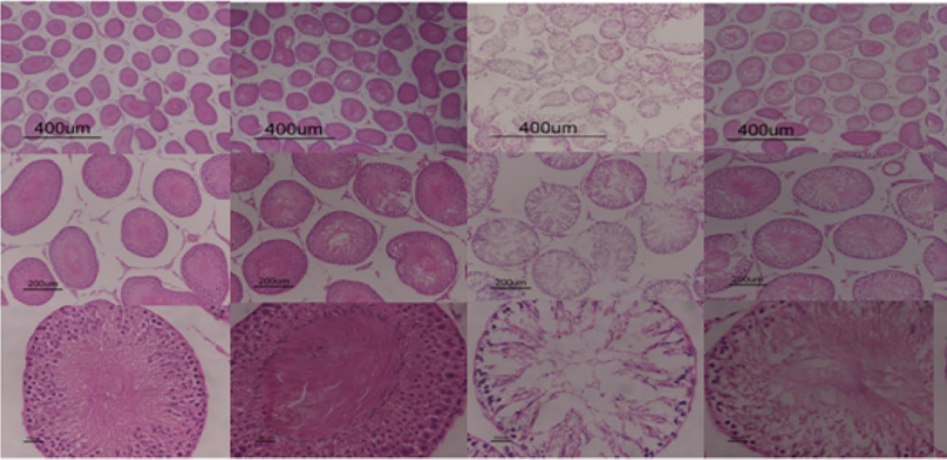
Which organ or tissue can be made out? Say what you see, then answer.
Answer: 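Many round to oval tubule cross-sections packed closely together. Thin interstitial tissue lies between the tubules.
Hence: testis.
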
